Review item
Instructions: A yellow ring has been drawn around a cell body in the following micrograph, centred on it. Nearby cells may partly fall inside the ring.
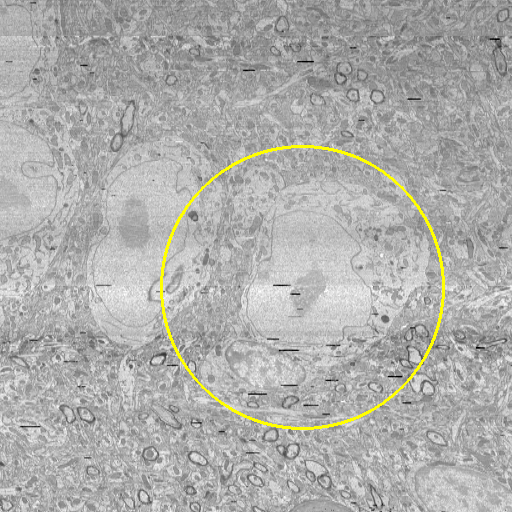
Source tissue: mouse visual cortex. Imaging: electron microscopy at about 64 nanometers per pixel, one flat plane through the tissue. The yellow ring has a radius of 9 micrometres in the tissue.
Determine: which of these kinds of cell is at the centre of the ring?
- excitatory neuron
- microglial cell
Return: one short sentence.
The cell body in the middle of the ring is that of an excitatory neuron.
